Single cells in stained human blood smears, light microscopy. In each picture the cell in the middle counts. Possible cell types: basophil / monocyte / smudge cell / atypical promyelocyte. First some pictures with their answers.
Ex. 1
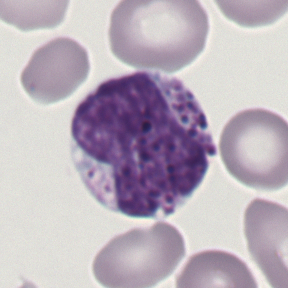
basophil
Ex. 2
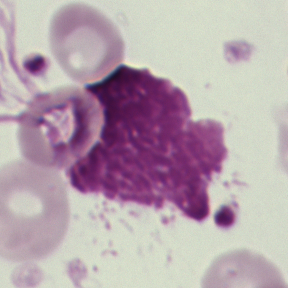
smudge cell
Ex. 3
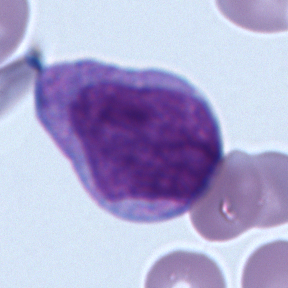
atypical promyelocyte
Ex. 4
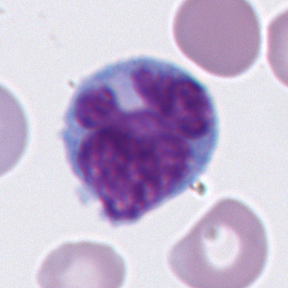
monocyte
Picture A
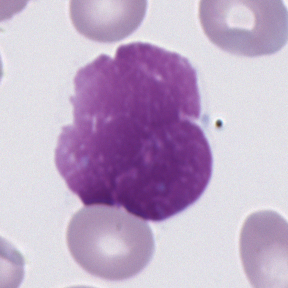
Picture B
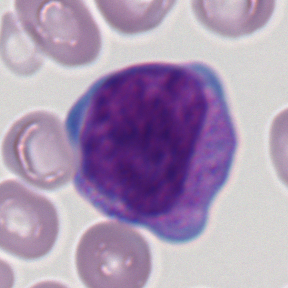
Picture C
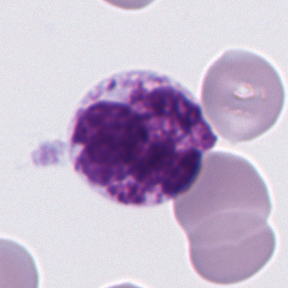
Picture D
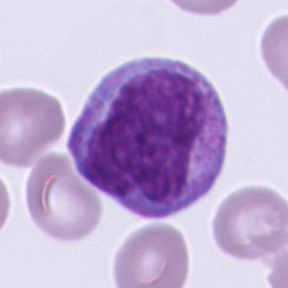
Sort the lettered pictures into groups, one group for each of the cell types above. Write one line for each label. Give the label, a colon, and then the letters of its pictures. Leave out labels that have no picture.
basophil: C
smudge cell: A
atypical promyelocyte: B, D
